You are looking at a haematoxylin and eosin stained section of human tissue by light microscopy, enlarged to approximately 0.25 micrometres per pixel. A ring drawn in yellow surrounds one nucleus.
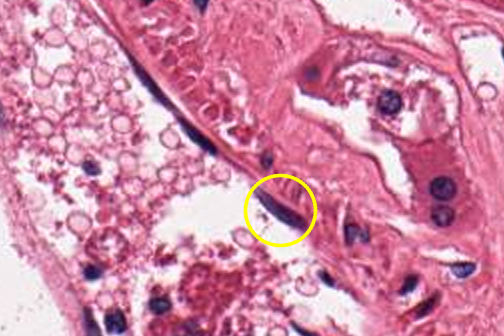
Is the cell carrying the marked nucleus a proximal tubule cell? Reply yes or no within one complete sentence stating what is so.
No, the marked nucleus is that of a supporting cell instead of a proximal tubule cell.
